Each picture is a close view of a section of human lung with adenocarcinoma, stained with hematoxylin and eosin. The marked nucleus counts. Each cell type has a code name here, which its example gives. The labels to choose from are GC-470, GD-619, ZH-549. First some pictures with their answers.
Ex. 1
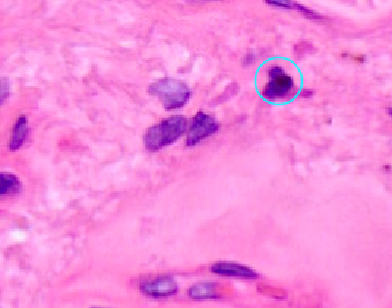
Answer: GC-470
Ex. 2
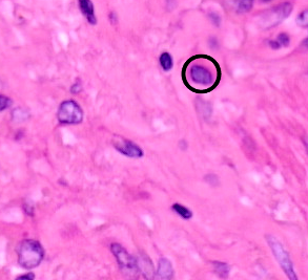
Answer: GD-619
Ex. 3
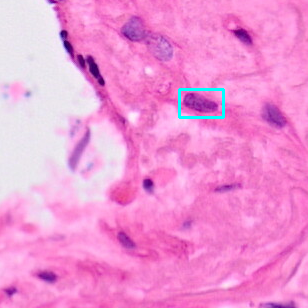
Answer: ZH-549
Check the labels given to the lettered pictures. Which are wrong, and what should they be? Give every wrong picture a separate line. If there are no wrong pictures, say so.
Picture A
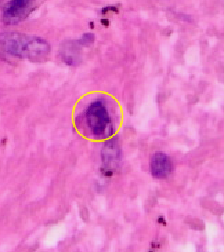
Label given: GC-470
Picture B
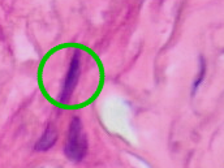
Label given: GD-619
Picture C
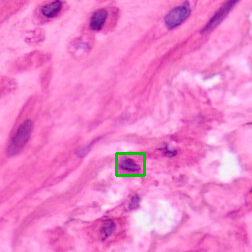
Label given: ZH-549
B: ZH-549, not GD-619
